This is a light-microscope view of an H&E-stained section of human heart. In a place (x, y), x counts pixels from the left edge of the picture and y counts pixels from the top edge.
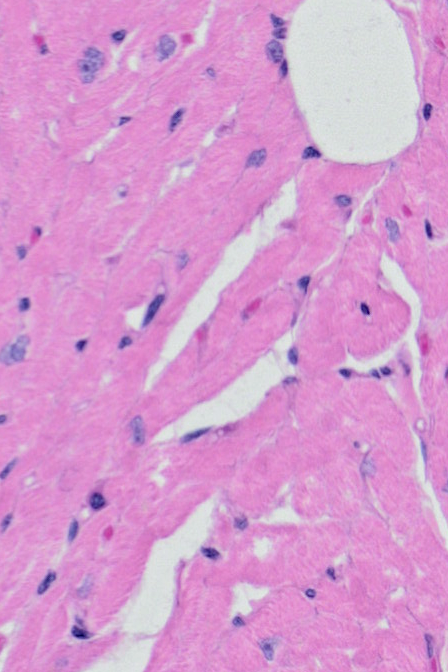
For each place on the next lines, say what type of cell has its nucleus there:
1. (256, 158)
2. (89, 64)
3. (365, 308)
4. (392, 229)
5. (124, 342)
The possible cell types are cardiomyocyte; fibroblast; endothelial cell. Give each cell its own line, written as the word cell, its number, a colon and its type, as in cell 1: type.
cell 1: cardiomyocyte
cell 2: cardiomyocyte
cell 3: endothelial cell
cell 4: cardiomyocyte
cell 5: fibroblast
